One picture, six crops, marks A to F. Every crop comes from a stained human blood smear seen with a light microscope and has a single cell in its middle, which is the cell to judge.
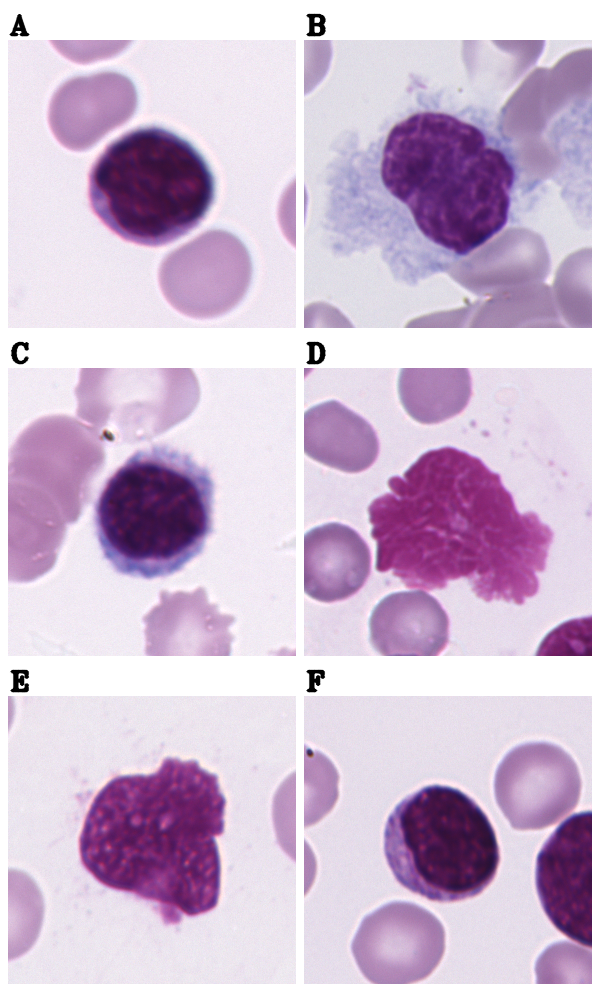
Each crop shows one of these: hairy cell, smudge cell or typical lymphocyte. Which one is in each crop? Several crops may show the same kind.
A: typical lymphocyte
B: hairy cell
C: hairy cell
D: smudge cell
E: smudge cell
F: typical lymphocyte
